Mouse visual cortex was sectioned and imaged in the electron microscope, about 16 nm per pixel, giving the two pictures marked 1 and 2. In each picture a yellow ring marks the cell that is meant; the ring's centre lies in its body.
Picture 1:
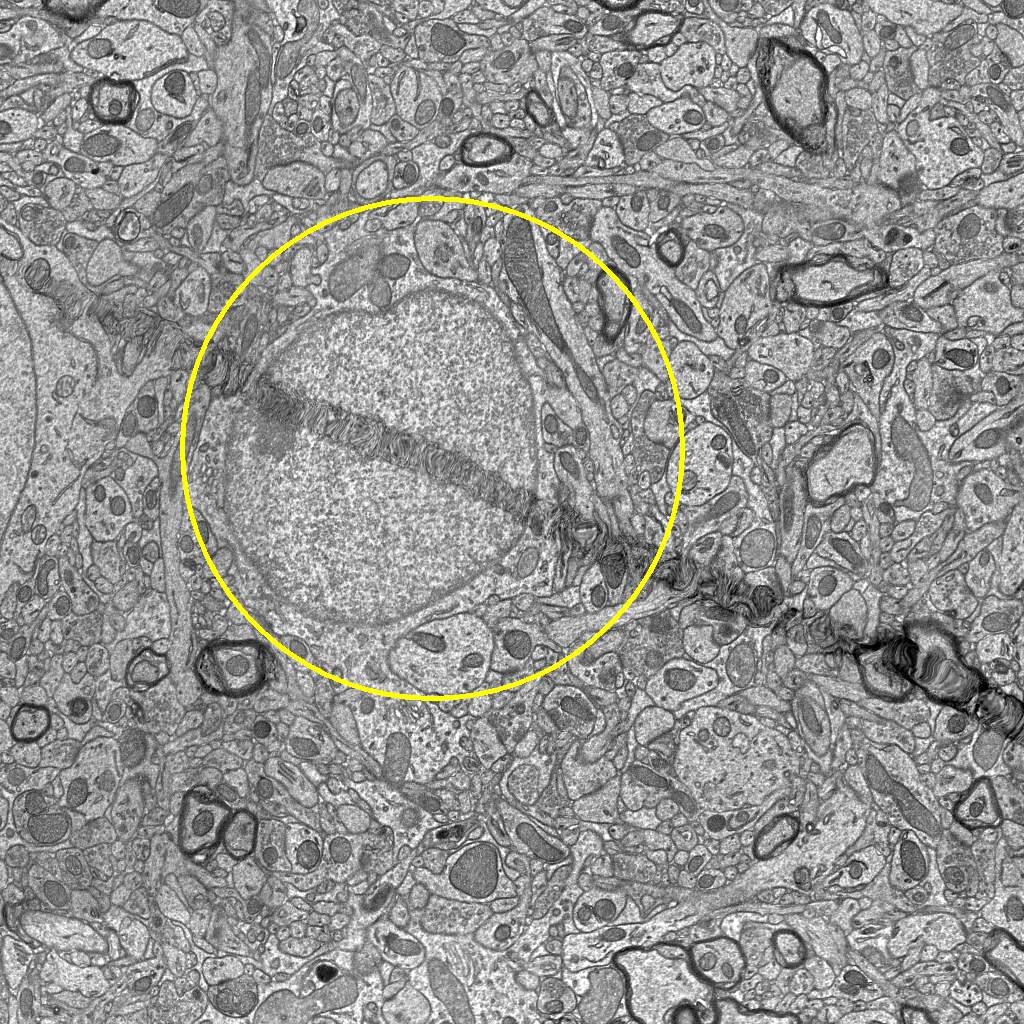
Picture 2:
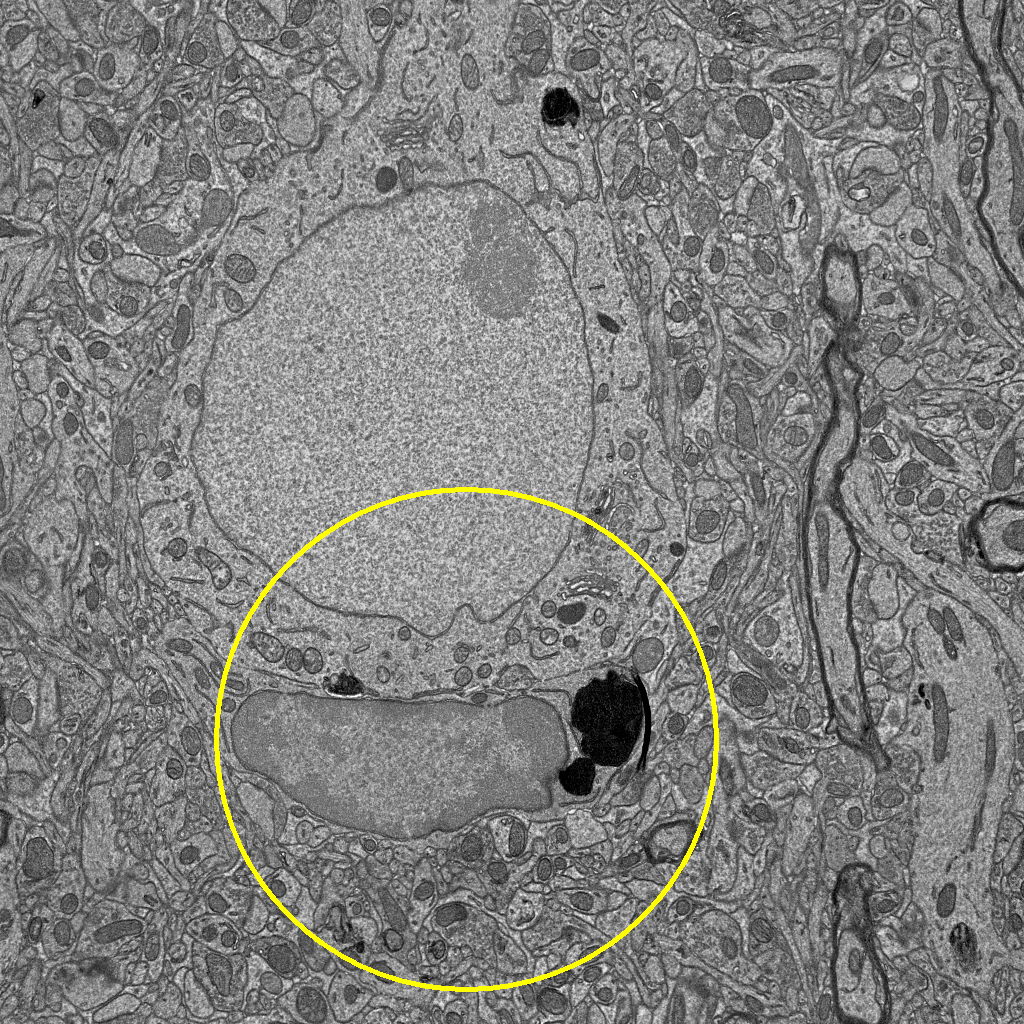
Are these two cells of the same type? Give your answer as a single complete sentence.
No, picture 1 shows an astrocyte and picture 2 shows a microglial cell.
